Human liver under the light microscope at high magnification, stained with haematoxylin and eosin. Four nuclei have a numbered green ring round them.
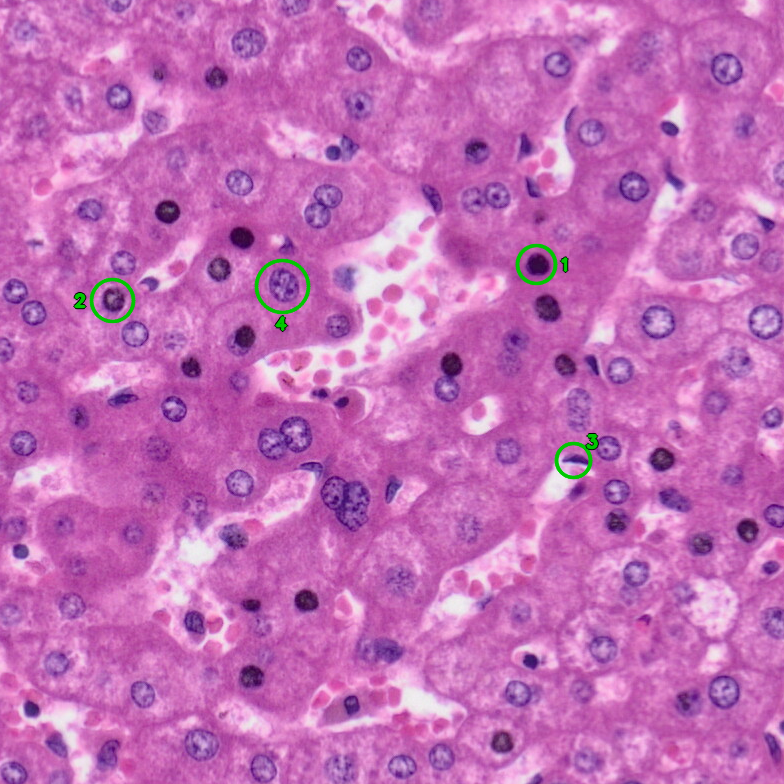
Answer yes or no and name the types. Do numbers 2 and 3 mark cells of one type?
No, an endothelial cell is what cell 3 is, while cell 2 is a hepatocyte.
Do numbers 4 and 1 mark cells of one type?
Yes, along with cell 4, cell 1 is also among the hepatocytes.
